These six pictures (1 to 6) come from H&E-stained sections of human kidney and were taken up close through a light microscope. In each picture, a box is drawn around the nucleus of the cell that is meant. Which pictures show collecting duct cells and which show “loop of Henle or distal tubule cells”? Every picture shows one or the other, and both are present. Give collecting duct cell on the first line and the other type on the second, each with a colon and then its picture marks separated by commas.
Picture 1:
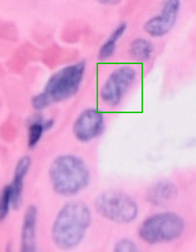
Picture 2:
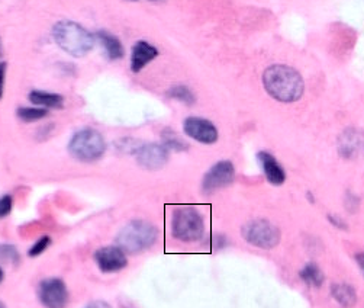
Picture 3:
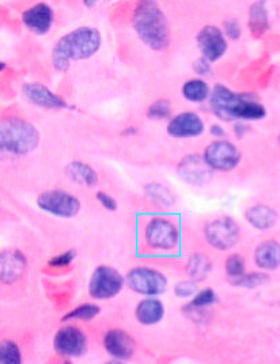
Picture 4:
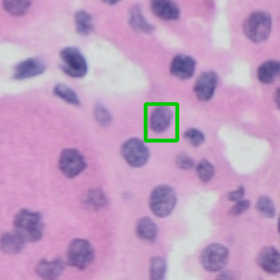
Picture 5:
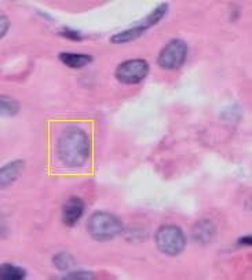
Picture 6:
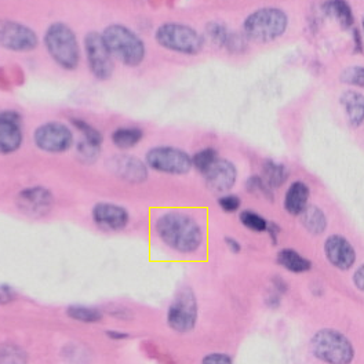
collecting duct cell: 1, 4
loop of Henle or distal tubule cell: 2, 3, 5, 6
